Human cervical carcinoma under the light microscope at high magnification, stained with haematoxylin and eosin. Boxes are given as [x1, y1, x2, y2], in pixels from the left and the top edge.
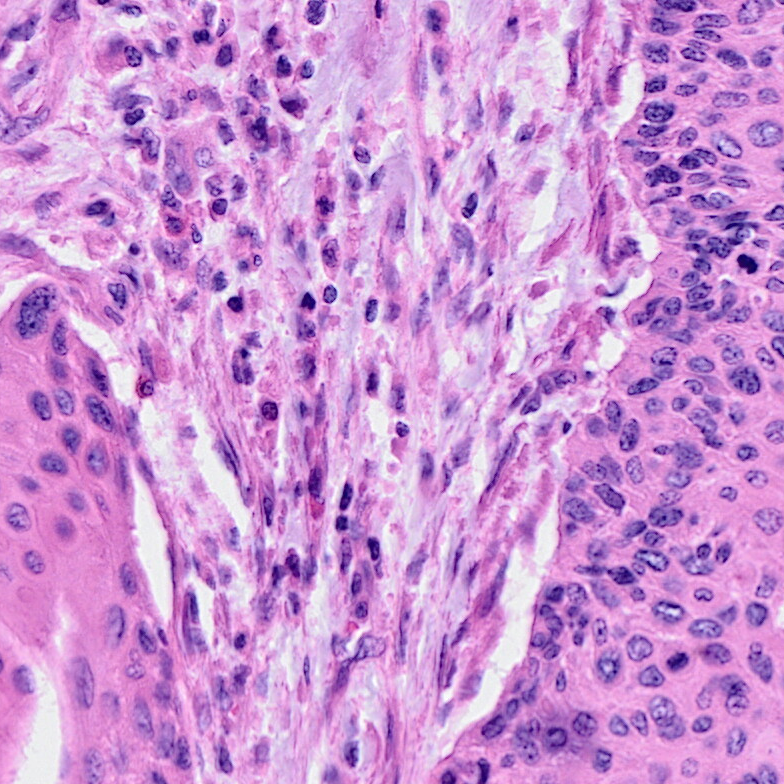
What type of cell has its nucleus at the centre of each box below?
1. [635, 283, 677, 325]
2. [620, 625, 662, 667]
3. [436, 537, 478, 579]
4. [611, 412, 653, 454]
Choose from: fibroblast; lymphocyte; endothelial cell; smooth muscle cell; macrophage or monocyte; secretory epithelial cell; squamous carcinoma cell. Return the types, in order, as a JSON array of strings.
["squamous carcinoma cell", "squamous carcinoma cell", "fibroblast", "squamous carcinoma cell"]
